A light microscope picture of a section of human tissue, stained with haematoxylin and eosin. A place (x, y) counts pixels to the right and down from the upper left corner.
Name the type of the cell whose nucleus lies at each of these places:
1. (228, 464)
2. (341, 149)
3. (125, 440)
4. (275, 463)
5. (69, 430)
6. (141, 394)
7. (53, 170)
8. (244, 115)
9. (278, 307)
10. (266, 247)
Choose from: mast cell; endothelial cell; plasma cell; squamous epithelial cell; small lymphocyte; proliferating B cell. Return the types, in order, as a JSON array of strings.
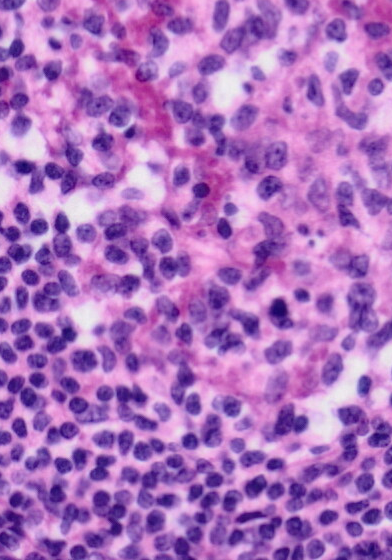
["small lymphocyte", "proliferating B cell", "small lymphocyte", "small lymphocyte", "small lymphocyte", "small lymphocyte", "small lymphocyte", "proliferating B cell", "proliferating B cell", "proliferating B cell"]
